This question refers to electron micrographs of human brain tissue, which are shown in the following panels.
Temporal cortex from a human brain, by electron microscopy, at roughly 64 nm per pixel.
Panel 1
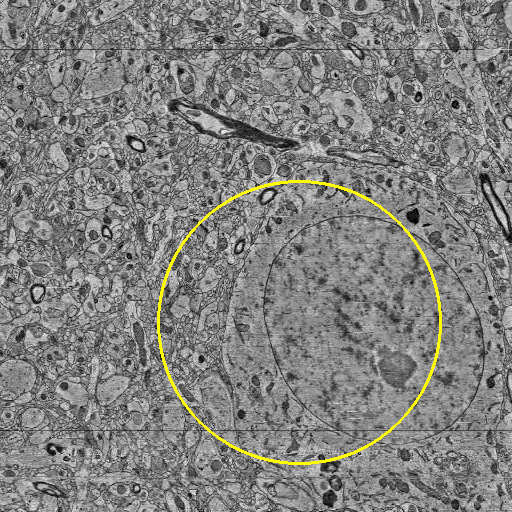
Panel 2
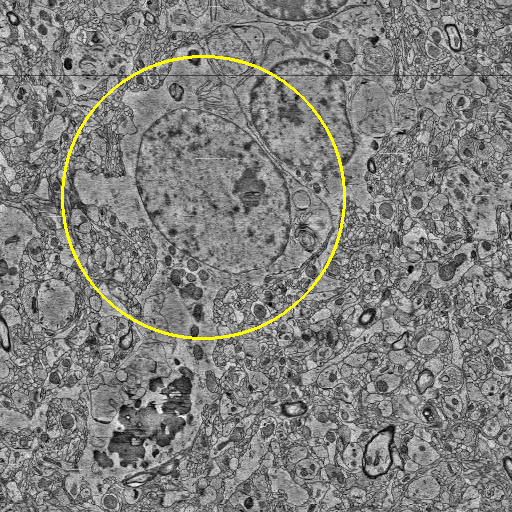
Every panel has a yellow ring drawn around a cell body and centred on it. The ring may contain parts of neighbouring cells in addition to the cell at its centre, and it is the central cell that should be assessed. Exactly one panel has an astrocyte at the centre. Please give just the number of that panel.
2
